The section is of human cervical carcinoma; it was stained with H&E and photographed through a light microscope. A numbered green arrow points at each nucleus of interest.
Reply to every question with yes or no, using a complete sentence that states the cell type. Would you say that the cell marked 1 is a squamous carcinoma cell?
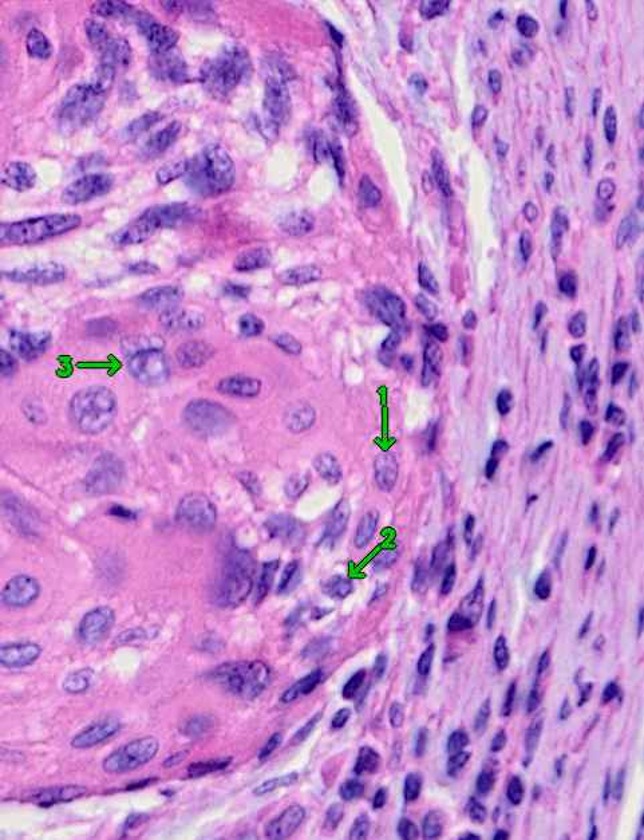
Yes, the cell tagged with number 1 is a squamous carcinoma cell.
